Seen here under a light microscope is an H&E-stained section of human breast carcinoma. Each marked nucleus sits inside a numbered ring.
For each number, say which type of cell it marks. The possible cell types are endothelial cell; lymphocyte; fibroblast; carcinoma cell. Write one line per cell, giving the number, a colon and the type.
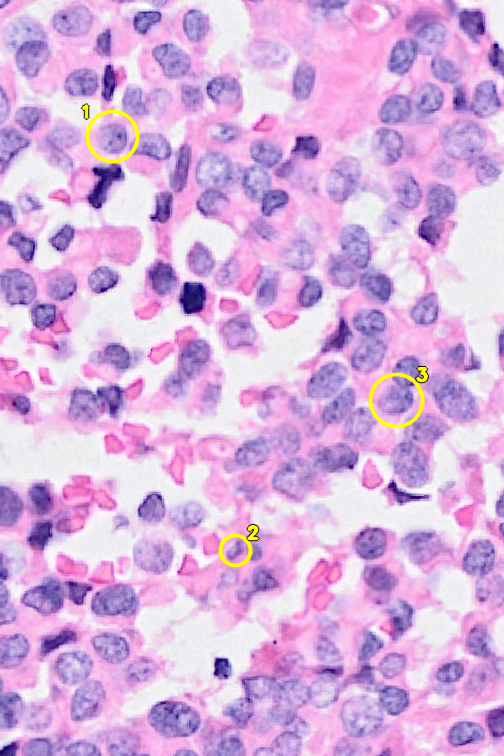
1: carcinoma cell
2: endothelial cell
3: carcinoma cell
